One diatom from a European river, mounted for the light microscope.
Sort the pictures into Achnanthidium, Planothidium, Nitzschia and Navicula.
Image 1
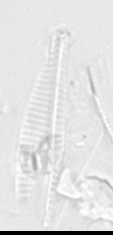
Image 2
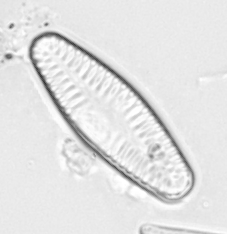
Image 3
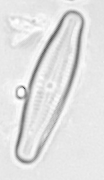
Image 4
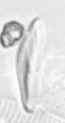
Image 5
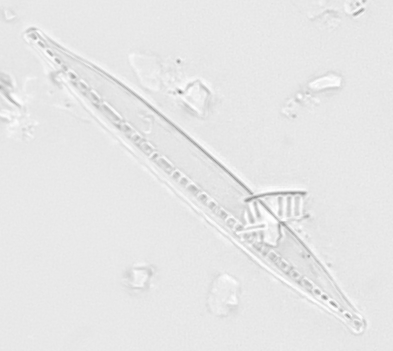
Navicula: 1
Planothidium: 2
Achnanthidium: 3, 4
Nitzschia: 5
